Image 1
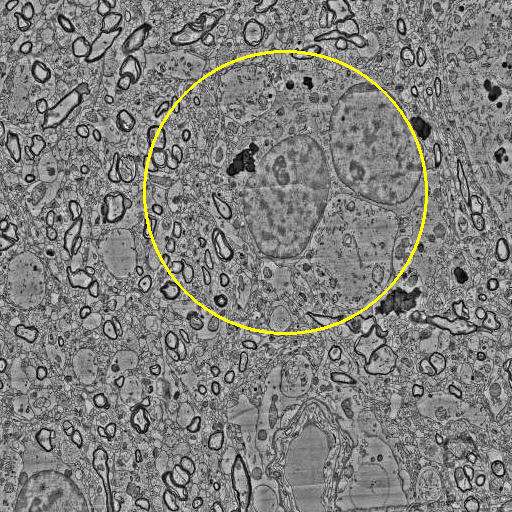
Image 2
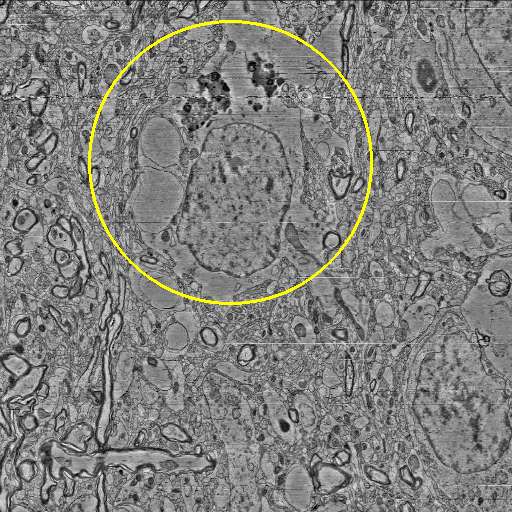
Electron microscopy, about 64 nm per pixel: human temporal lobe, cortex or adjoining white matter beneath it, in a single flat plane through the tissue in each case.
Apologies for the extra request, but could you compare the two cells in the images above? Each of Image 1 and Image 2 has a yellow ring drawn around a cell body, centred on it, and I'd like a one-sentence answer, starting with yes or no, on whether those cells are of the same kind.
No, the two cells are of two kinds.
